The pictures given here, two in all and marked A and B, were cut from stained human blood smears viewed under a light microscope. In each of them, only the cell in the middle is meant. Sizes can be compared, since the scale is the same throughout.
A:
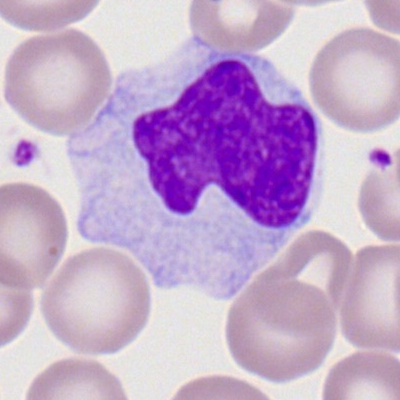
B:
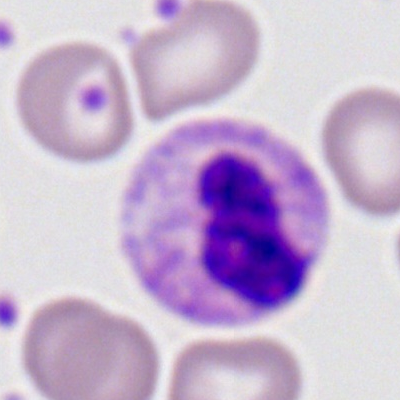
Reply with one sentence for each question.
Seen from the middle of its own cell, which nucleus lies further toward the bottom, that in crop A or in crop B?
In crop B the nucleus is shifted more toward the bottom.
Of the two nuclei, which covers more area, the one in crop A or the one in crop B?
Larger is the nucleus in crop A, at roughly 2 times the area of the other.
